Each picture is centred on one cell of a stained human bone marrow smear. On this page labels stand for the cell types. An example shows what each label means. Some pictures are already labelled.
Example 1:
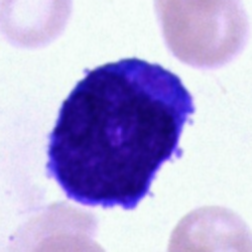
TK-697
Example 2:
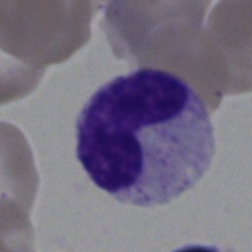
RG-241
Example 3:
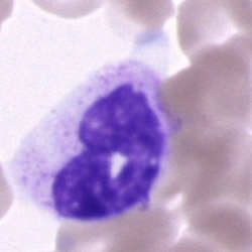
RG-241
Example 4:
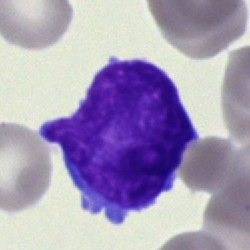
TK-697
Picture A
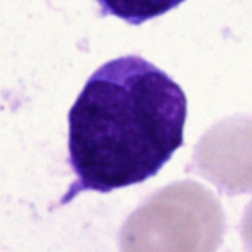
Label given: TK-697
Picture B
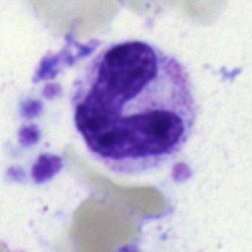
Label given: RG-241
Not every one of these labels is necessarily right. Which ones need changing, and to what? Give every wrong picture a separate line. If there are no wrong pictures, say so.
None of the labels needs changing.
